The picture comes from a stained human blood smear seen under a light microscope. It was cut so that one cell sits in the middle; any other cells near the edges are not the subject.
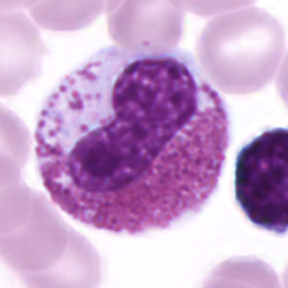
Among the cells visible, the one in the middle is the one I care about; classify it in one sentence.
The cell in the exact centre of the crop is an eosinophil.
